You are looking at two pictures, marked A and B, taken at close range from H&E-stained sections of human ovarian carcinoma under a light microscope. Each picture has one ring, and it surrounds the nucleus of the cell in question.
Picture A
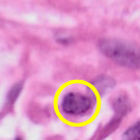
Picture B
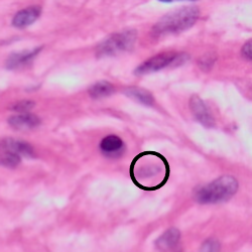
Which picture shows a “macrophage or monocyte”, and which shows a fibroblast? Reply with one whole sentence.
Picture A shows a “macrophage or monocyte” and picture B shows a fibroblast.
